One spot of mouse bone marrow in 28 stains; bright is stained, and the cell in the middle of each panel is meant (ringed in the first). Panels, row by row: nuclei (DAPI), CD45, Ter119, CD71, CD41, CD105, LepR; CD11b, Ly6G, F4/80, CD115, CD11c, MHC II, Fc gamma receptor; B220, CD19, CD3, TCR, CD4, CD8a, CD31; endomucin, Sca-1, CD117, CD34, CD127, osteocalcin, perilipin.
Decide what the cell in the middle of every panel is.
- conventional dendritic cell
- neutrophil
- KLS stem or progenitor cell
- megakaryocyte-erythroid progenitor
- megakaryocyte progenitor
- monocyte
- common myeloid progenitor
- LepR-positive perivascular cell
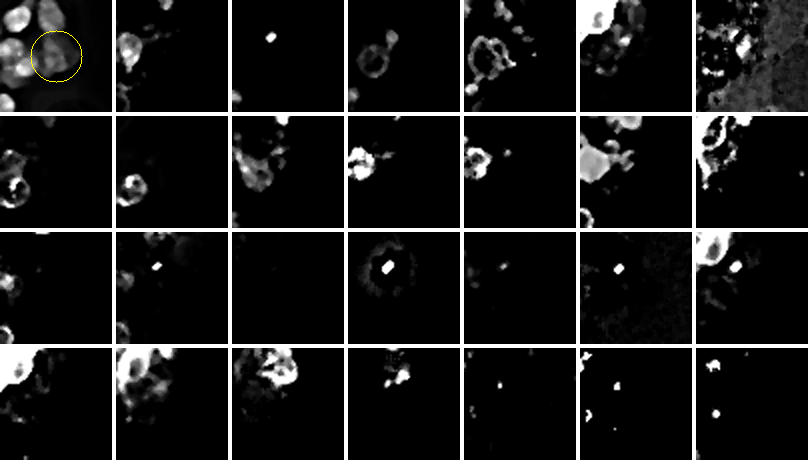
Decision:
LepR-positive perivascular cell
